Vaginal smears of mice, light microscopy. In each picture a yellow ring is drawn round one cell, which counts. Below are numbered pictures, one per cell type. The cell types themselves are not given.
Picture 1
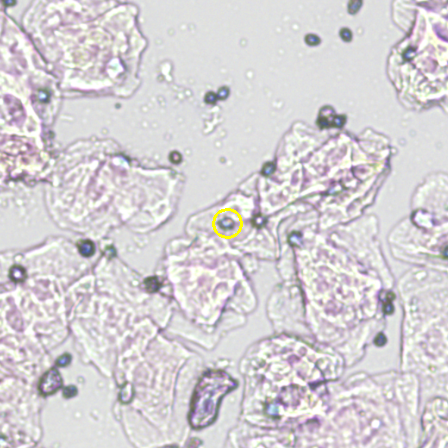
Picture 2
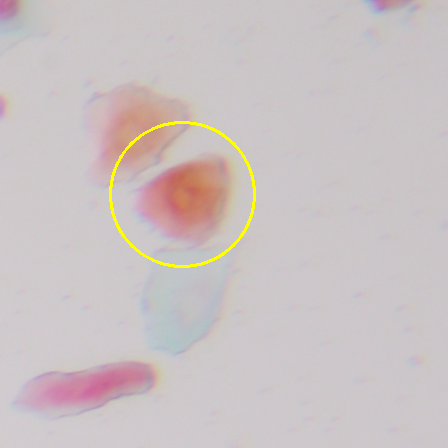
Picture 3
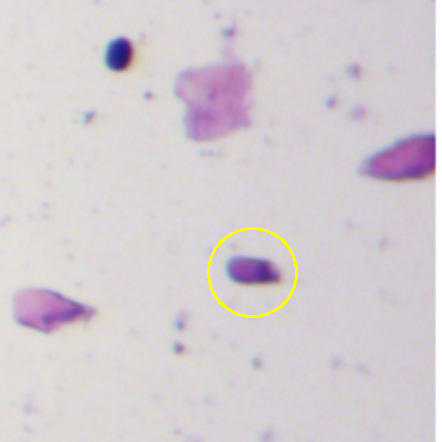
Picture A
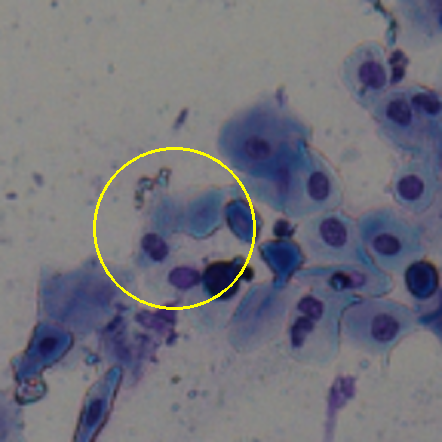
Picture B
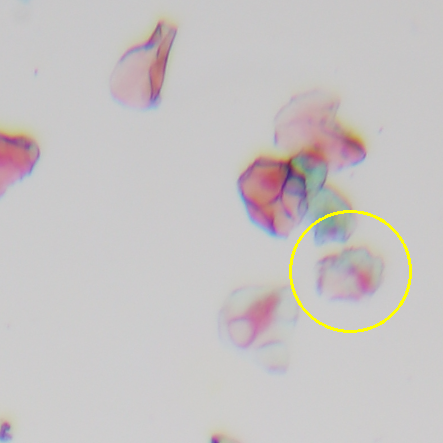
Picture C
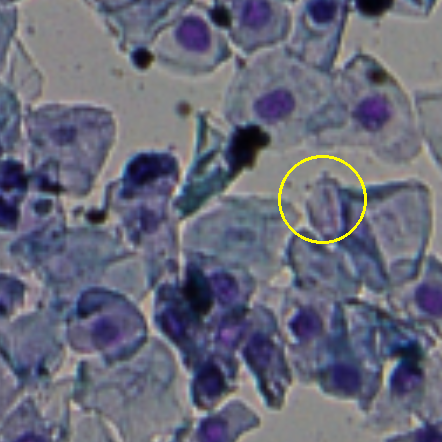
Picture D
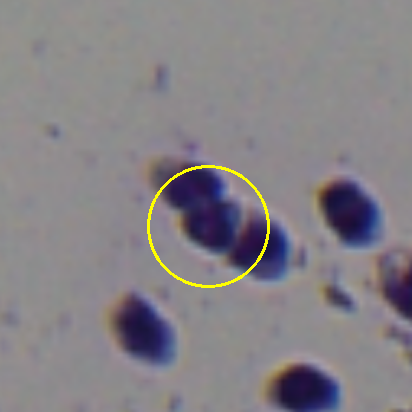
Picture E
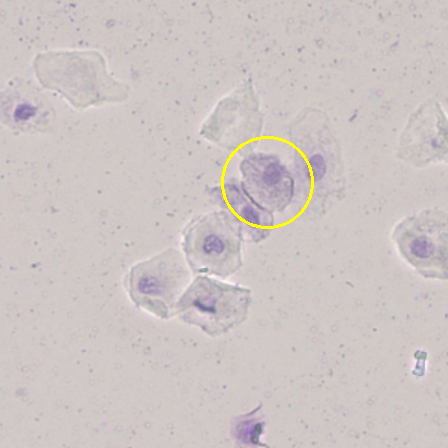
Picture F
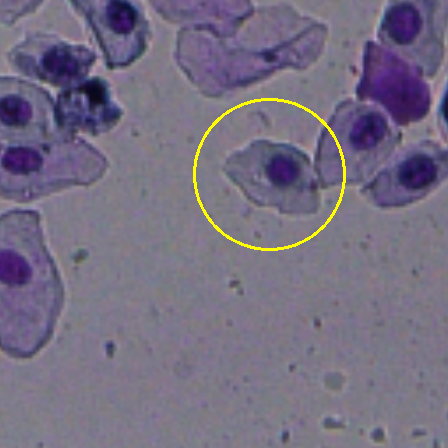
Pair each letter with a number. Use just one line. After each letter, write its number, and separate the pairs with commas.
A 3, B 2, C 2, D 1, E 3, F 3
